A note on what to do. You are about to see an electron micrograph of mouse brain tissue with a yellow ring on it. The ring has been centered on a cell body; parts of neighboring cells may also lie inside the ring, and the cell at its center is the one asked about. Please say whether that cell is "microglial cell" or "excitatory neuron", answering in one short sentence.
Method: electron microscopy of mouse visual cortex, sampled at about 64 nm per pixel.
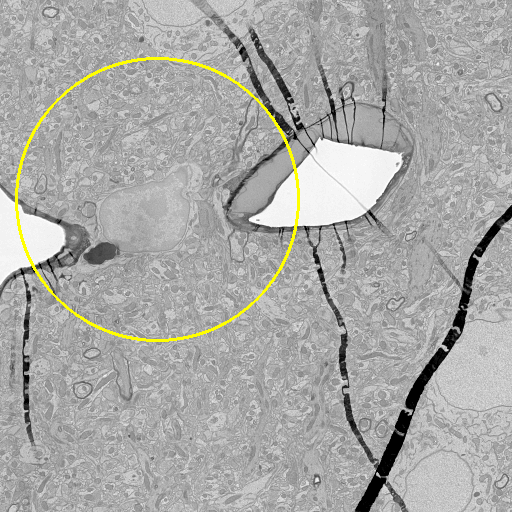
The yellow ring sits on a microglial cell.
